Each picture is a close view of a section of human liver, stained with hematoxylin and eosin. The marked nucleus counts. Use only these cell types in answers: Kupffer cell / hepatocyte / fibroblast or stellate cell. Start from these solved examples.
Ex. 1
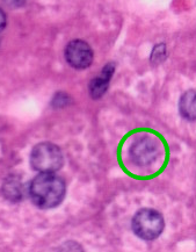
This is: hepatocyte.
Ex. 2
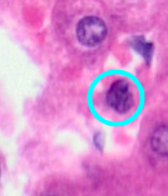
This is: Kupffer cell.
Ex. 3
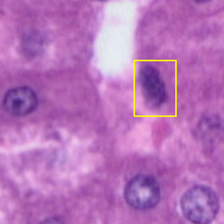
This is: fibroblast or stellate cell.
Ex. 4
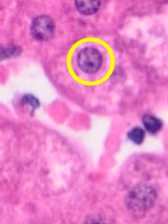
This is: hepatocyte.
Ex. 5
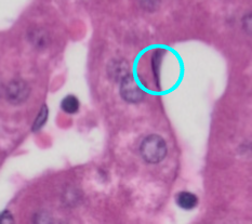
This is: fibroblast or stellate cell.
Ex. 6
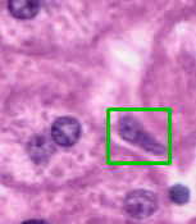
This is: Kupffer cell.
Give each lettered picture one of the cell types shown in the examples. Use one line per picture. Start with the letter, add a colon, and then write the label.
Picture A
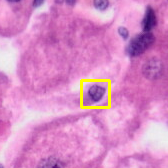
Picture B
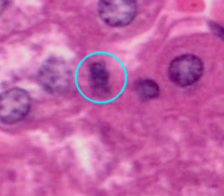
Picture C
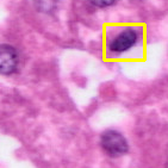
A: Kupffer cell.
B: fibroblast or stellate cell.
C: fibroblast or stellate cell.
